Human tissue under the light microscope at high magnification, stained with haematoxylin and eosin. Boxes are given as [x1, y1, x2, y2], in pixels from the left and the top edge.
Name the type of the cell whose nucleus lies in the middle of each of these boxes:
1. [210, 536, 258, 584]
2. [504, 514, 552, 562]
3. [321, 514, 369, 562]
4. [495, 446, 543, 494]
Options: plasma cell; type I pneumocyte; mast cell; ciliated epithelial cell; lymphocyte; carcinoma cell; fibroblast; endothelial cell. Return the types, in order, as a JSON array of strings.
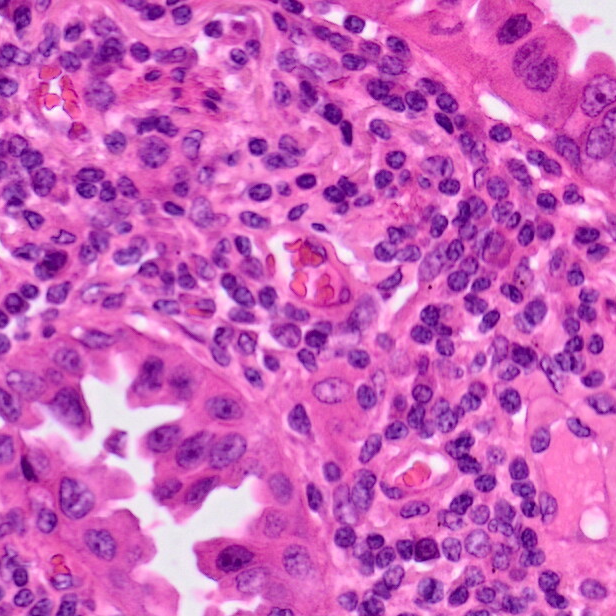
["carcinoma cell", "lymphocyte", "lymphocyte", "lymphocyte"]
